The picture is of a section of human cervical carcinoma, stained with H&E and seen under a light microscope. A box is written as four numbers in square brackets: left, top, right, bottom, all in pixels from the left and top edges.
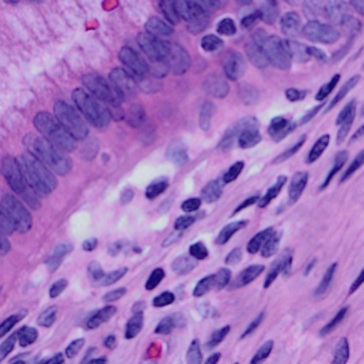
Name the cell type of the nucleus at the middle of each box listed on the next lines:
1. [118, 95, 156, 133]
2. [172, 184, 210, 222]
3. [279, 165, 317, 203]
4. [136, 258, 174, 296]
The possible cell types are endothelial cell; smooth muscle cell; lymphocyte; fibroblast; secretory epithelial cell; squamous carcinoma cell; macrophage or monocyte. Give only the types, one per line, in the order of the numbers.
secretory epithelial cell
lymphocyte
fibroblast
lymphocyte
